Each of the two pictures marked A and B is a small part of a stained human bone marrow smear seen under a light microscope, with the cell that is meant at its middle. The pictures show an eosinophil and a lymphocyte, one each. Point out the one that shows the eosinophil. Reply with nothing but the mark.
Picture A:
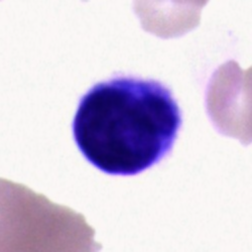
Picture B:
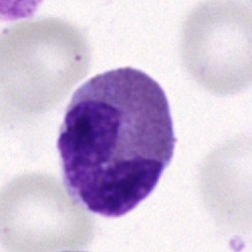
B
